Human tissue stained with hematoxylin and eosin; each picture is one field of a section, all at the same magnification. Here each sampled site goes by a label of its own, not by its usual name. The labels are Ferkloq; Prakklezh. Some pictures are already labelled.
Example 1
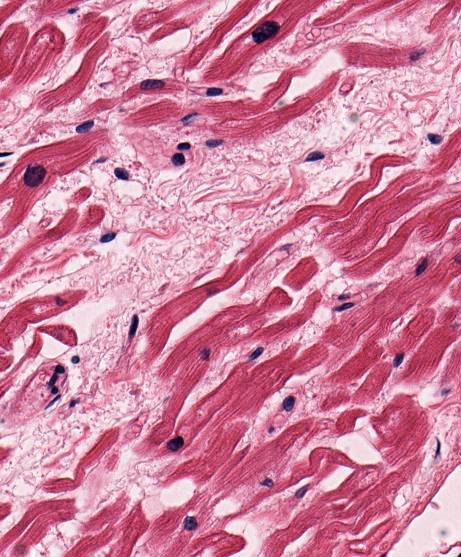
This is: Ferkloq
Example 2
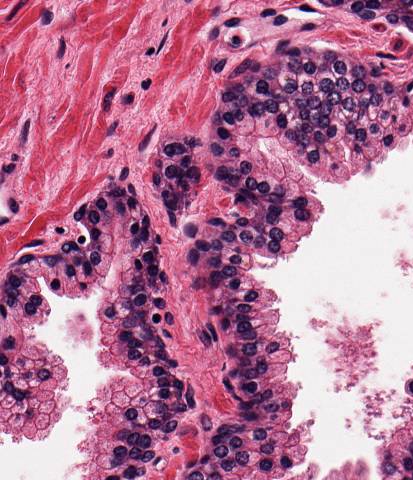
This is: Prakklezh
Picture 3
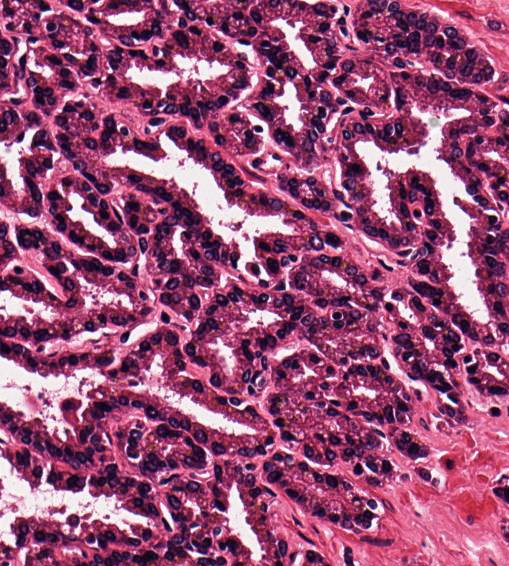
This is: Prakklezh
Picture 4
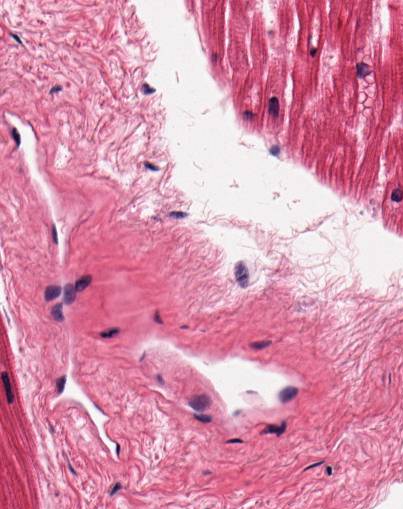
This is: Ferkloq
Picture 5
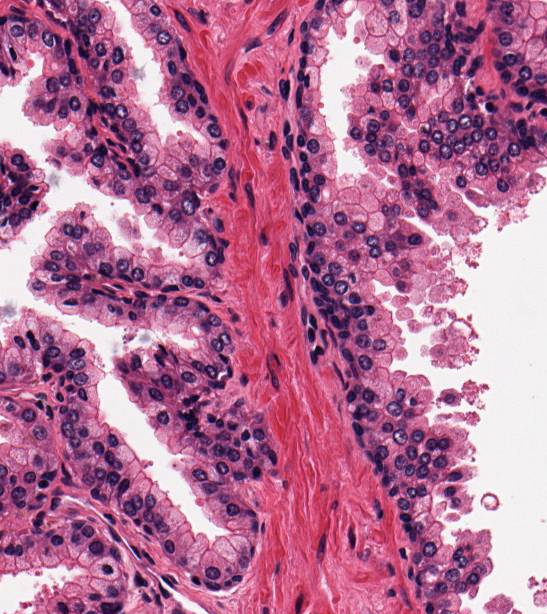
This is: Prakklezh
